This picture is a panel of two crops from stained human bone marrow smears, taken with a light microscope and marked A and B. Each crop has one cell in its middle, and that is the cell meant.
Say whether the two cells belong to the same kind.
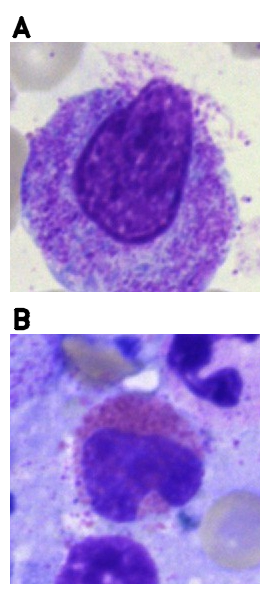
no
